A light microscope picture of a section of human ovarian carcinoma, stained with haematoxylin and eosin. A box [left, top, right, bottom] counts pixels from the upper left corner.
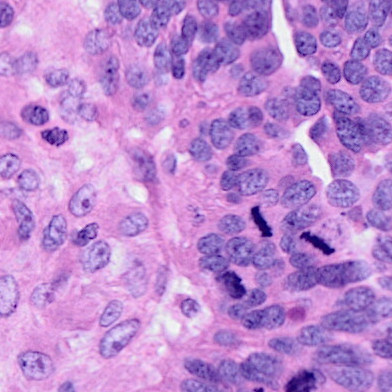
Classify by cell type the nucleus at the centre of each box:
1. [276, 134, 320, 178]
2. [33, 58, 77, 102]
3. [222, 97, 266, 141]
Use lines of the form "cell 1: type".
cell 1: carcinoma cell
cell 2: fibroblast
cell 3: carcinoma cell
